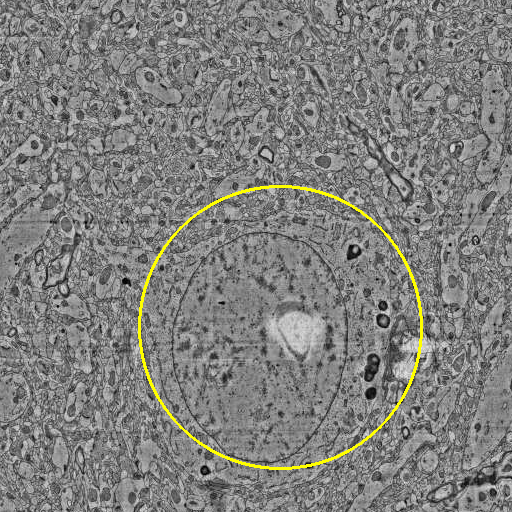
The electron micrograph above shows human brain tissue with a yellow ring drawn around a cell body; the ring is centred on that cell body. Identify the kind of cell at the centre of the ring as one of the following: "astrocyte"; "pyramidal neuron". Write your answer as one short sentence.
The cell at the centre of the ring is a pyramidal neuron.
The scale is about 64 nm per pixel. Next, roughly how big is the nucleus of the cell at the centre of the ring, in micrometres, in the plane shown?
In this plane the nucleus spans approximately 15 by 11 micrometers.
